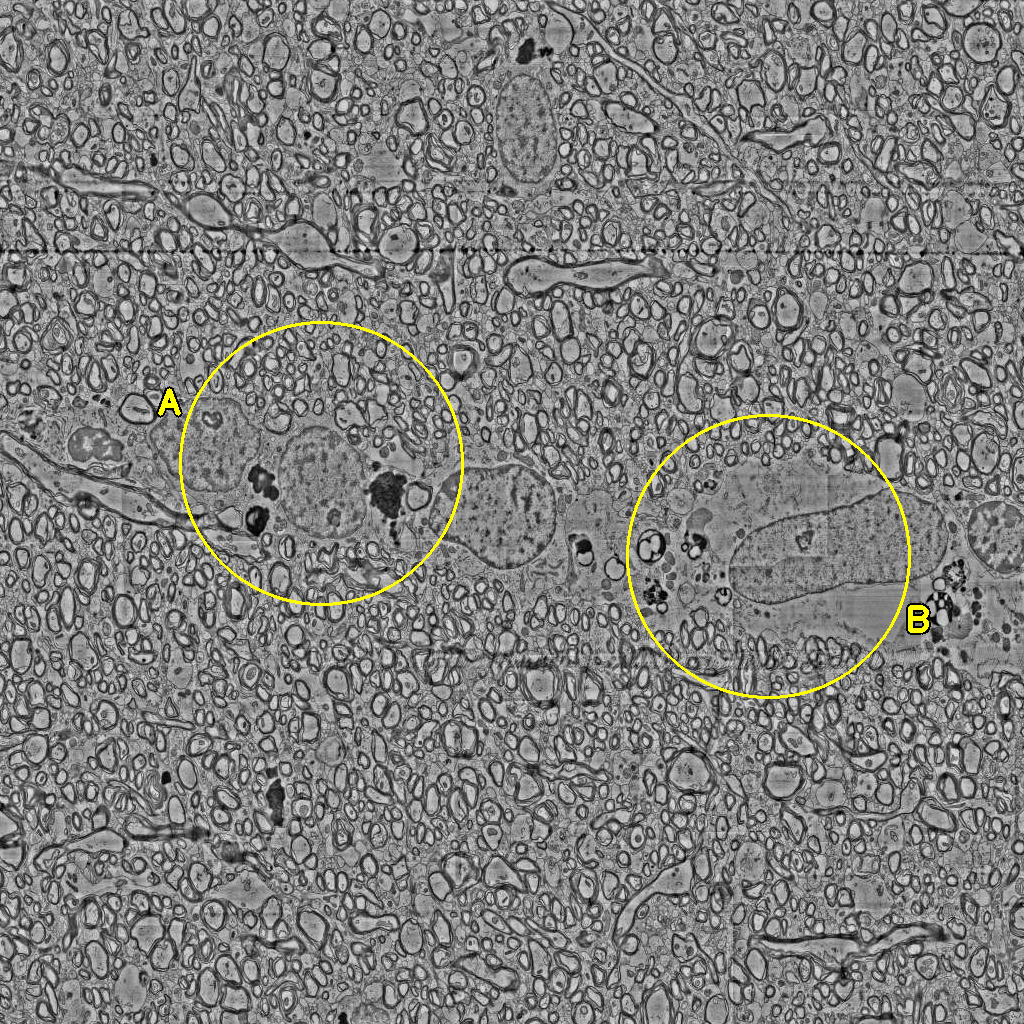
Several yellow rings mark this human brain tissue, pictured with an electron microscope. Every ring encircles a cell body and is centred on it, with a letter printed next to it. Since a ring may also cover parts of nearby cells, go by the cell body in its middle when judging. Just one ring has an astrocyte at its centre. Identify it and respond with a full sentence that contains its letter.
The answer is ring B, whose centre rests on the cell asked for.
